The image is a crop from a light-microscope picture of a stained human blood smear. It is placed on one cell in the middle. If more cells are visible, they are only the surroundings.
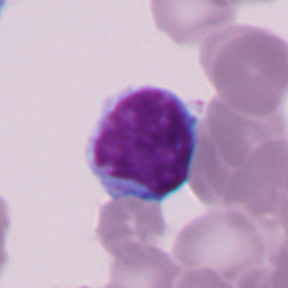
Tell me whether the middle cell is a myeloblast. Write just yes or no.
no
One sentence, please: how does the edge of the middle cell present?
This cell does not have a smooth edge; it is ragged or extended into projections.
